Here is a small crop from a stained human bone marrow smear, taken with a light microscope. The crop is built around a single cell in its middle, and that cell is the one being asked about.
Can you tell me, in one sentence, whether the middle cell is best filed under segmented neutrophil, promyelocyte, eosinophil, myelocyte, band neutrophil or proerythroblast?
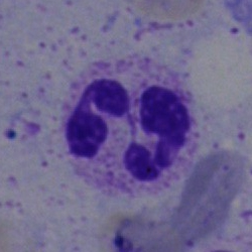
The crop shows a segmented neutrophil in its centre.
